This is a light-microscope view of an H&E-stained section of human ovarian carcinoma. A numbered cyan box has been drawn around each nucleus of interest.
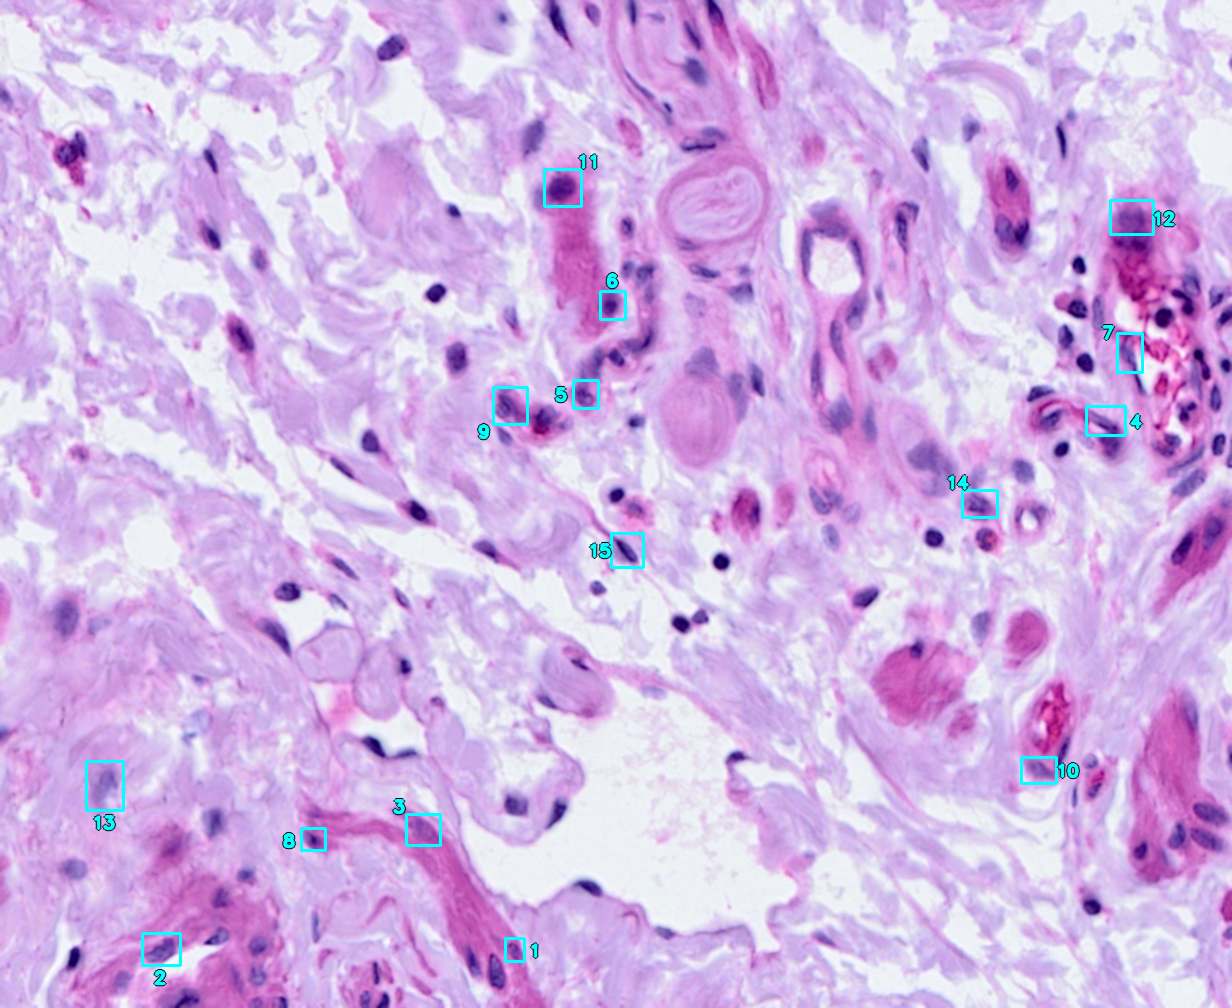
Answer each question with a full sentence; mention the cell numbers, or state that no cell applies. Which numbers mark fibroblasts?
Marked by the numbers 13 and 15 are cells that are fibroblasts.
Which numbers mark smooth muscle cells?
The cells numbered 1, 3, 6, 8 and 11 are typed as smooth muscle cells.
